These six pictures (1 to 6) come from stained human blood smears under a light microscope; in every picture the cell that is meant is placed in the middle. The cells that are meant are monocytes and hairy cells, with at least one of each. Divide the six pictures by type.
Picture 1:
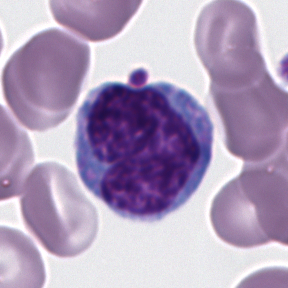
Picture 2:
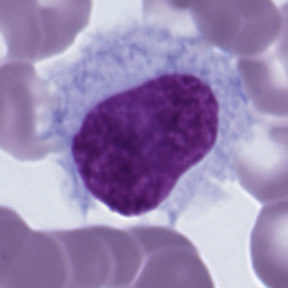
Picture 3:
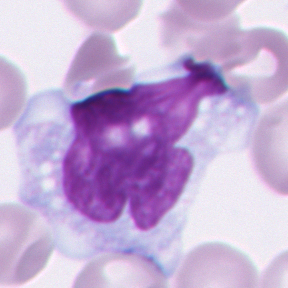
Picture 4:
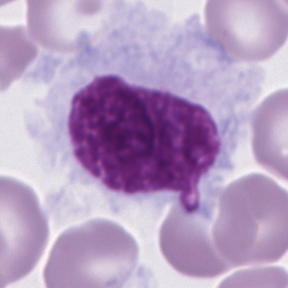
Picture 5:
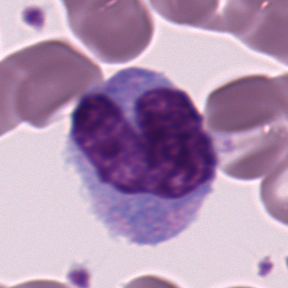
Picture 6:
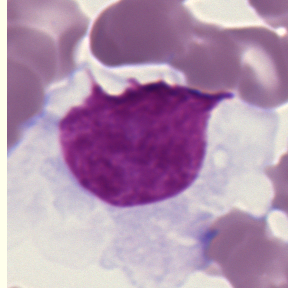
1: monocyte
2: hairy cell
3: monocyte
4: hairy cell
5: monocyte
6: hairy cell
